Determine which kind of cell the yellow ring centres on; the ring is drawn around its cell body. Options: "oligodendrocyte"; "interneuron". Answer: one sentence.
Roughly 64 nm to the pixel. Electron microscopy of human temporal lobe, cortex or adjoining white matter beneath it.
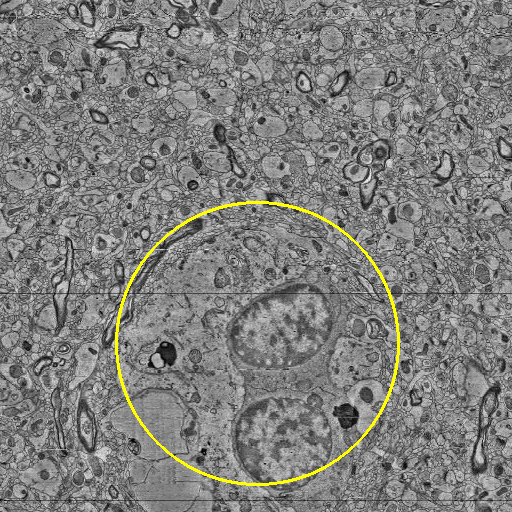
The ring centres on an oligodendrocyte.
